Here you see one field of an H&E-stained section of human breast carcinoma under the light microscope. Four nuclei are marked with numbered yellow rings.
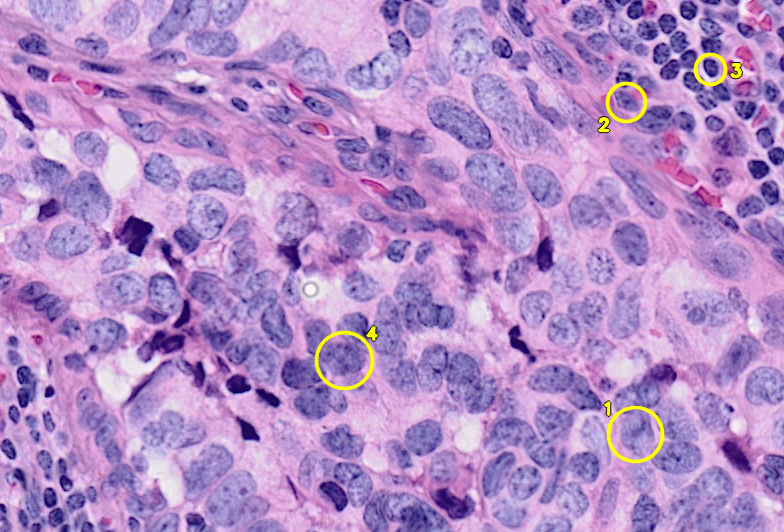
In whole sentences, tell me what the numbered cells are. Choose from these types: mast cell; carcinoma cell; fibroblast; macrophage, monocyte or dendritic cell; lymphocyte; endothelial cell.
Cells 1 and 4 are carcinoma cells. Cell 2 is an endothelial cell. Cell 3 is a lymphocyte.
